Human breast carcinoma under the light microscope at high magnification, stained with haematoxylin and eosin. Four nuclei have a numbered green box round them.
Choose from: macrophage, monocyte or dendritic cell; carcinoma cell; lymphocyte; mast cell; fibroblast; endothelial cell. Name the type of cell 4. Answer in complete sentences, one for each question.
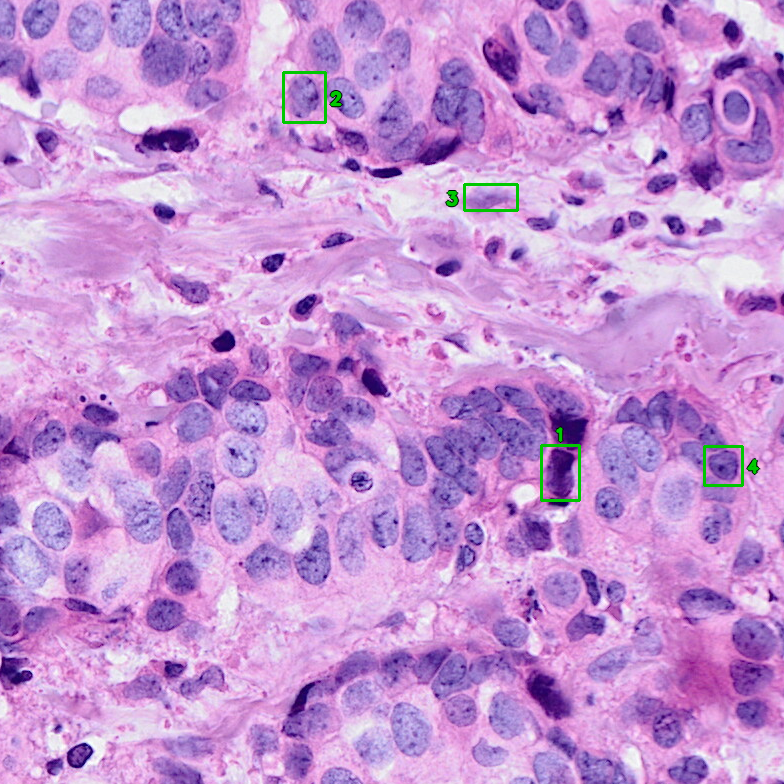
Corresponding to a carcinoma cell is the cell labelled 4.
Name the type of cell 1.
The mark numbered 1 indicates the nucleus of a carcinoma cell.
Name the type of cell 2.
The correct answer for cell 2 is a carcinoma cell.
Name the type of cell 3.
The cell whose nucleus carries the number 3 is a fibroblast.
